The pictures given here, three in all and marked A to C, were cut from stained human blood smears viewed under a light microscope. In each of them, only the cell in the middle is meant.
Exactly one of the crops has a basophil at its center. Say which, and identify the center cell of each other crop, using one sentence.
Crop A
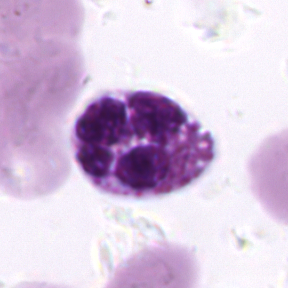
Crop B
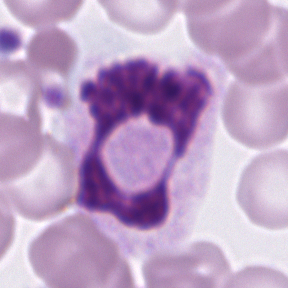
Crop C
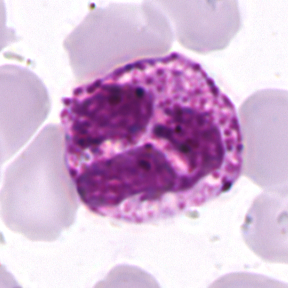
The crop labelled C shows a basophil, whereas crop A is an eosinophil and crop B is a neutrophil.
